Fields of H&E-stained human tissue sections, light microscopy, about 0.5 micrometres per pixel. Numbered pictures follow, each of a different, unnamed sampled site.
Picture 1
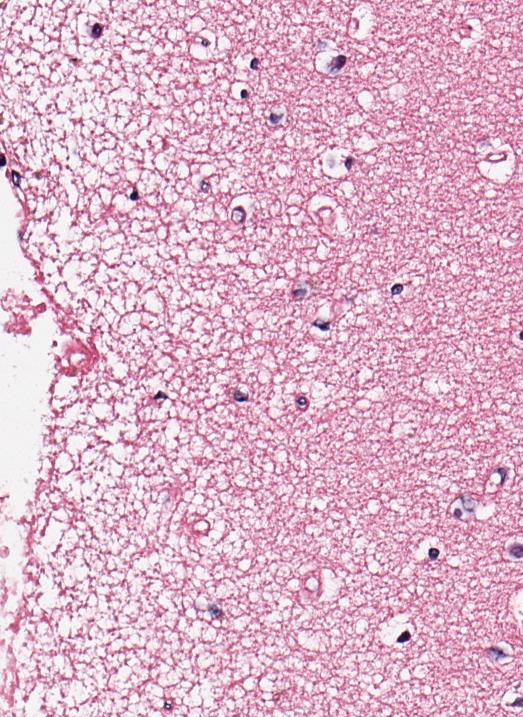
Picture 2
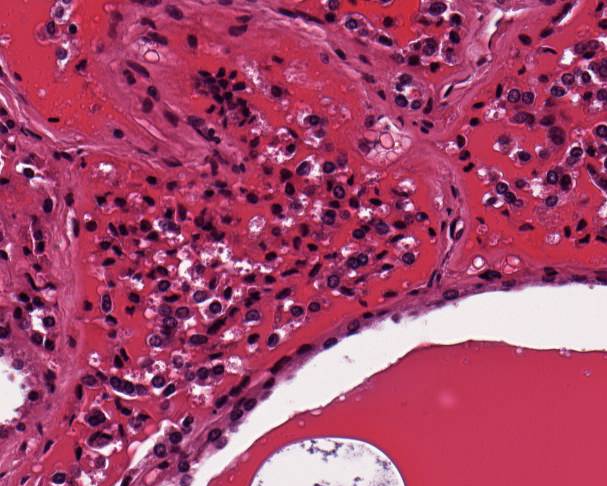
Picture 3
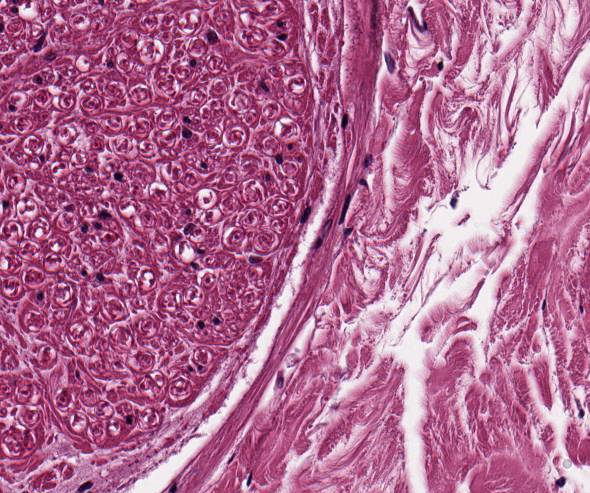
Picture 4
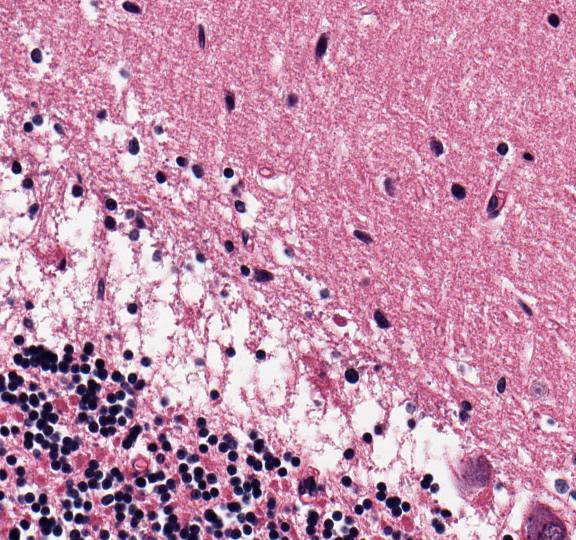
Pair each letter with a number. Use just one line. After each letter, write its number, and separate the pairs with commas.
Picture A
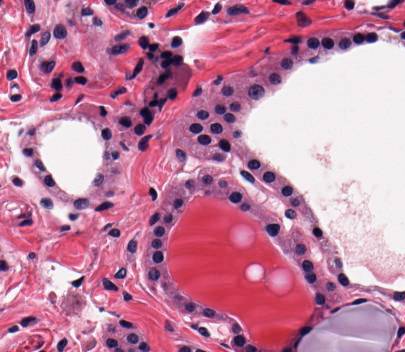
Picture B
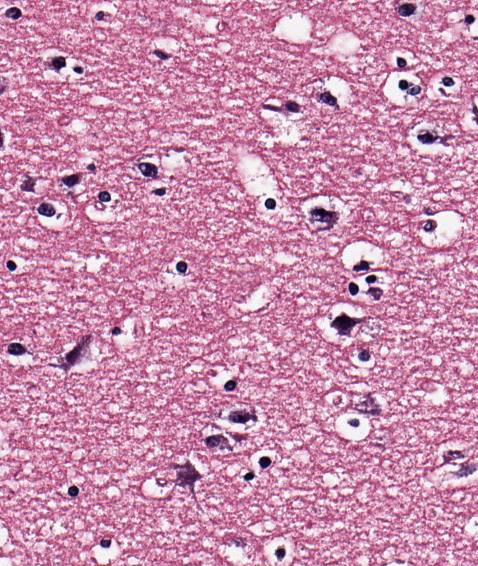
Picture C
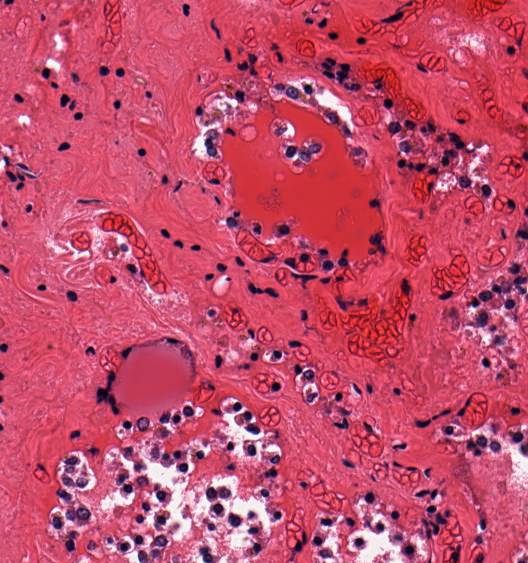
A 2, B 1, C 2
